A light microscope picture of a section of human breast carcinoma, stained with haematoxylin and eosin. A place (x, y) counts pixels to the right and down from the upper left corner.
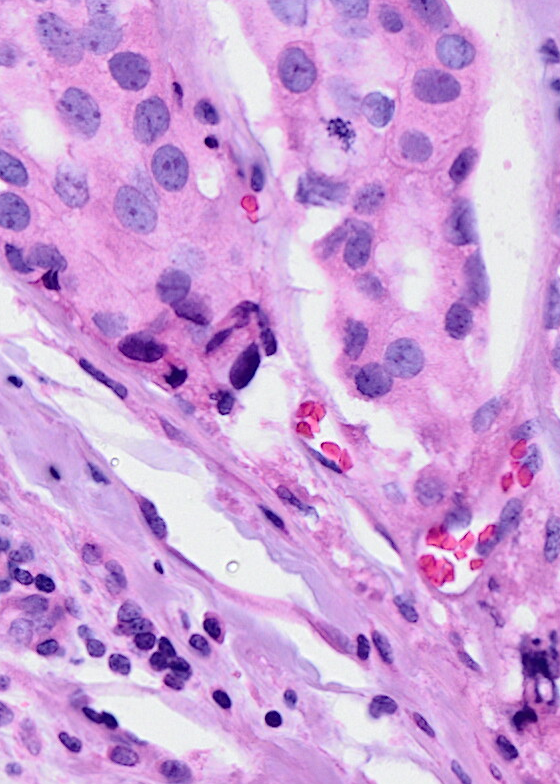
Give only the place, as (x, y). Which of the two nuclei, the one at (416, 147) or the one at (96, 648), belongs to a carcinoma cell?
(416, 147)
